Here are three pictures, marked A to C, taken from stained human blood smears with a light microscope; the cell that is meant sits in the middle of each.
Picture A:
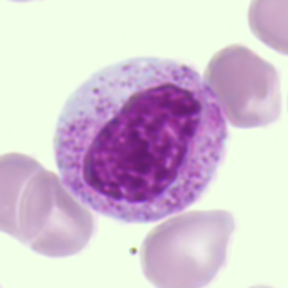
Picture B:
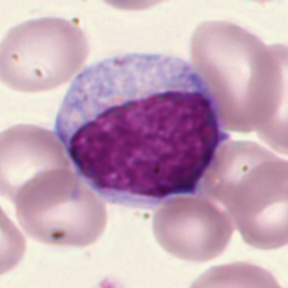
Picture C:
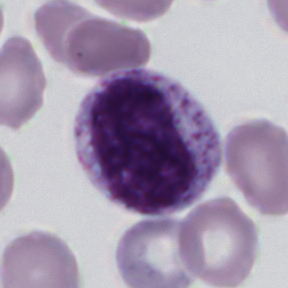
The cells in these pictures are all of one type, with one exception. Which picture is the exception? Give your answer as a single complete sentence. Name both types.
The different one is picture C; it shows a metamyelocyte, whereas all the others show myelocytes.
